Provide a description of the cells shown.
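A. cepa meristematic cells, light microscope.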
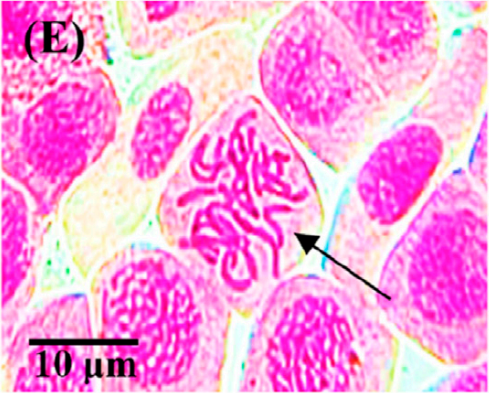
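Onion root tip meristem cells, packed and polygonal, most with a large round granular deep pink nucleus. One central cell has no nucleus but many long condensed chromosomes, strongly stained pink. The chromosomes are scattered and curved across the cell without forming a plate, as in c-metaphase.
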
